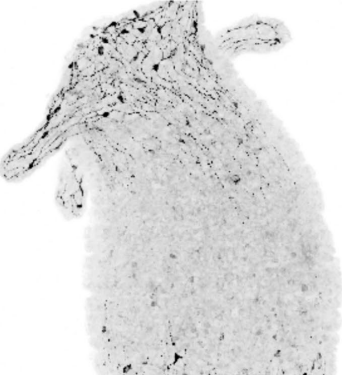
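Dark neurons with thin branching processes form a dense meshwork at the oral end. The meshwork continues out along the tentacle buds. Toward the lower body labelled cells are sparser and scattered, with a few more at the bottom of the field.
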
